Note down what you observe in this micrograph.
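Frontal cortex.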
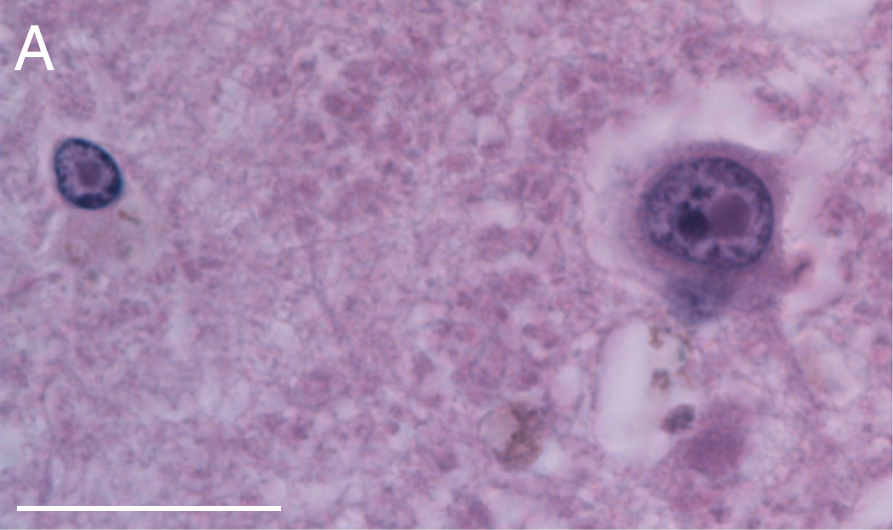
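This is cortical grey matter with a large pyramidal neuron on the right and a small glial cell on the left, set in a fine pink neuropil. The neuron has a big round nucleus with a dark nucleolus, and right beside it lies a round, pale pink, glassy body inside the nucleus; its cytoplasm is ample and tapers downward. The glial cell has only a small oval nucleus whose dark chromatin is pushed to the rim around a pale pink central body. A few golden-brown granules lie scattered in the neuropil nearby.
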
